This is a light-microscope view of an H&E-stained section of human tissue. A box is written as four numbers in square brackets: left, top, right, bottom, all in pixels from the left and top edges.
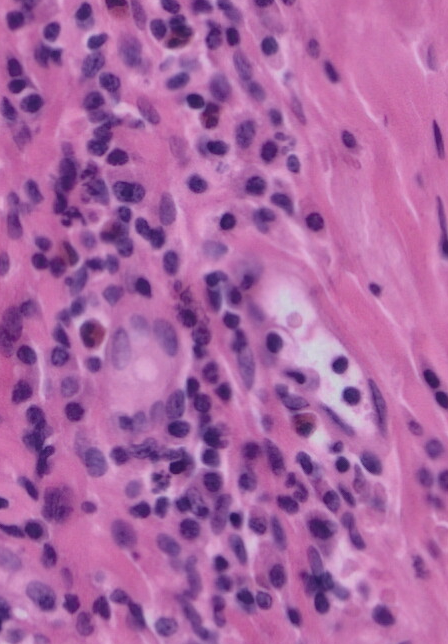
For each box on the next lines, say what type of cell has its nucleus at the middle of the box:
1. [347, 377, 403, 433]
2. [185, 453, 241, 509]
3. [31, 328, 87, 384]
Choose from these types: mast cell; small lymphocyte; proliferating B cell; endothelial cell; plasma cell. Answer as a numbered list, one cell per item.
1. endothelial cell
2. plasma cell
3. plasma cell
